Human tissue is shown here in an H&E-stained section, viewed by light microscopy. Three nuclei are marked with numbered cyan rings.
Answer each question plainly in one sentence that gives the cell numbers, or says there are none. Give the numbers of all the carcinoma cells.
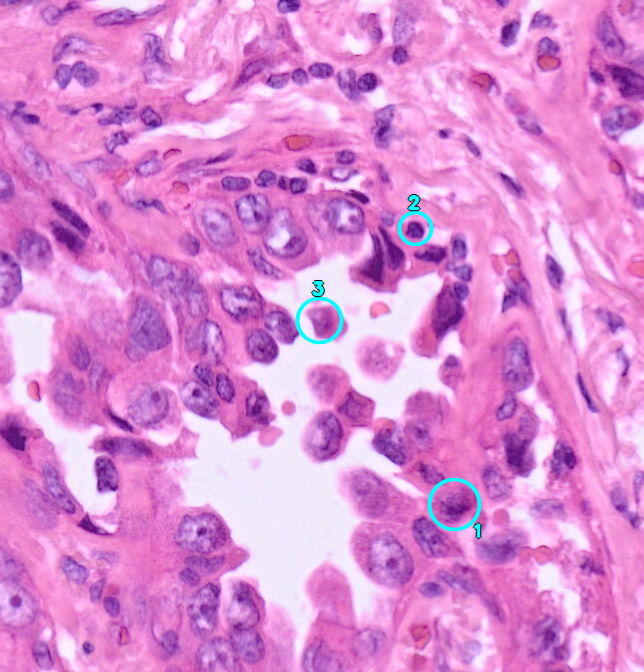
In terms of cell type, cells 1 and 3 are carcinoma cells.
